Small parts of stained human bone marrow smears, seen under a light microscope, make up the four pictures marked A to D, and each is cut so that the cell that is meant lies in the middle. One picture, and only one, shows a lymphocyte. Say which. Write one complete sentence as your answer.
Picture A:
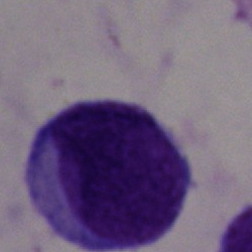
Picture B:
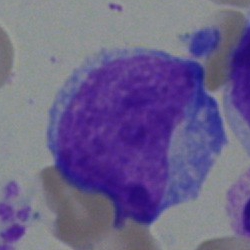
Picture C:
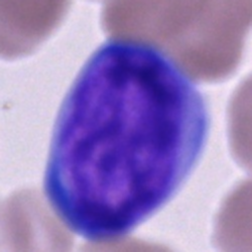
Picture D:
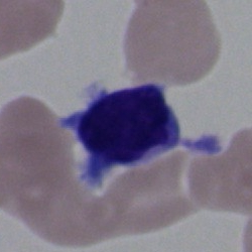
The lymphocyte is the one in picture D.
